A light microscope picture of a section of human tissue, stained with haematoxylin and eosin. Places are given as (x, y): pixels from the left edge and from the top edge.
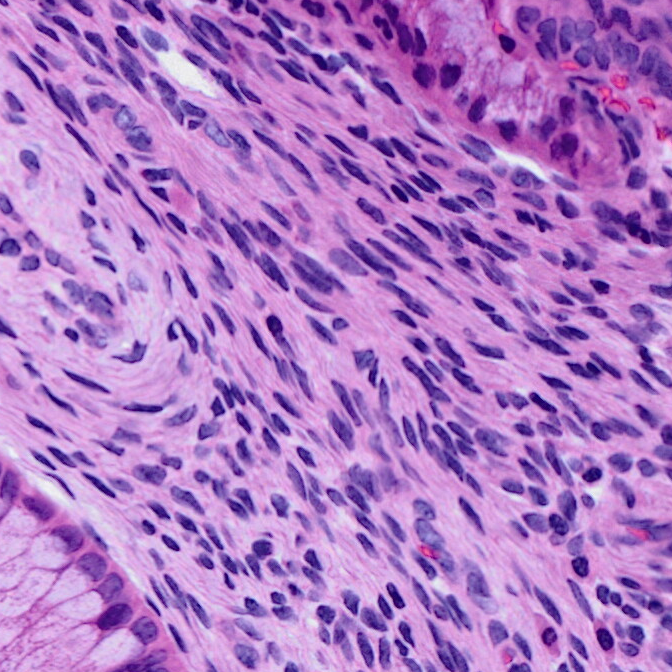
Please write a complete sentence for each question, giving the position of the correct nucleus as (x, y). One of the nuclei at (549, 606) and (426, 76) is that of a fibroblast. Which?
In this pair, the nucleus at (549, 606) belongs to a fibroblast.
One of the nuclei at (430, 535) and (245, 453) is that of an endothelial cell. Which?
The nucleus of an endothelial cell is the one found at (430, 535), not the other.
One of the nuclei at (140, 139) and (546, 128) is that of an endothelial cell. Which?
The nucleus at position (140, 139) belongs to an endothelial cell.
